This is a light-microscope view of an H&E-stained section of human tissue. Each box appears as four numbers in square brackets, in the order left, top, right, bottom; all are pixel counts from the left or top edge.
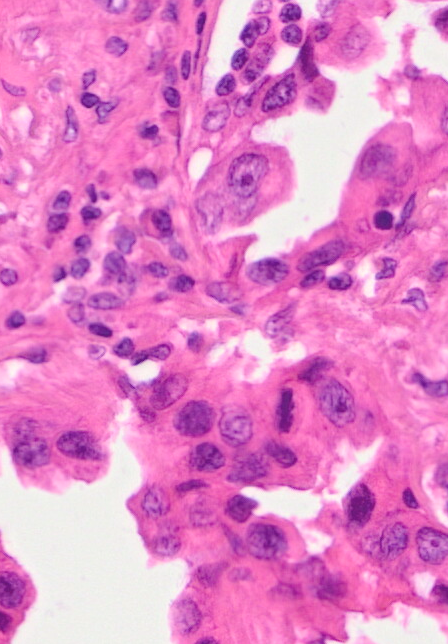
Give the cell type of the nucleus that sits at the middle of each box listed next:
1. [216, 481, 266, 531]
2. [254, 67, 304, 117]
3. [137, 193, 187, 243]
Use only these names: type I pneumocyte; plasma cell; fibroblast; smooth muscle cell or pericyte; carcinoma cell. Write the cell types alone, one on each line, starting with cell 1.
carcinoma cell
carcinoma cell
plasma cell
